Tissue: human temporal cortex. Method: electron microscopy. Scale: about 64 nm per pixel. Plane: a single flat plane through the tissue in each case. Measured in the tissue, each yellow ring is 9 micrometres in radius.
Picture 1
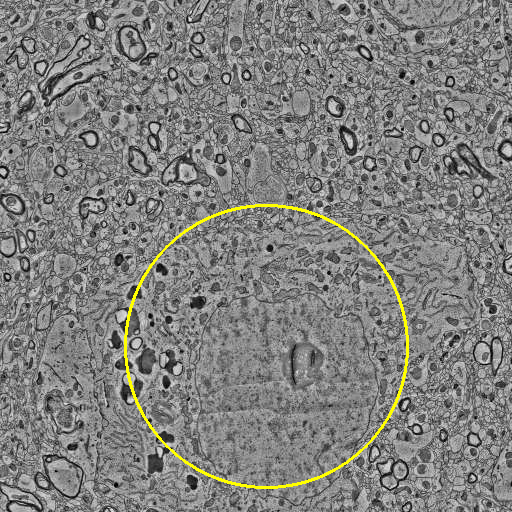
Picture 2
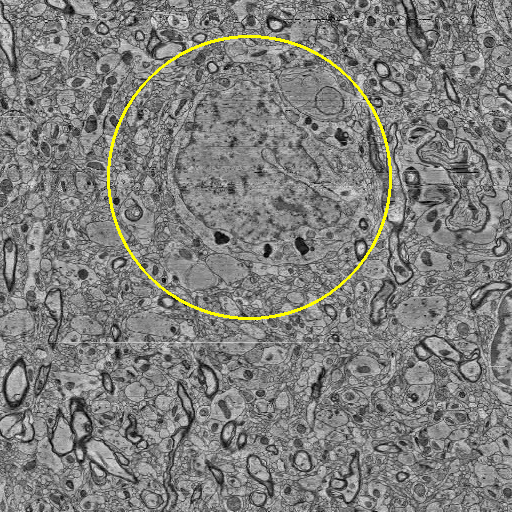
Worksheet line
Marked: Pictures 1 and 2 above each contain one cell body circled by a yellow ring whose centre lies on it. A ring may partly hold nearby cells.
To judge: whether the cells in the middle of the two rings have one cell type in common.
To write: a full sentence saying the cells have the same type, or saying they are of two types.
The cells in the middle of the rings in Picture 1 and Picture 2 are of two types.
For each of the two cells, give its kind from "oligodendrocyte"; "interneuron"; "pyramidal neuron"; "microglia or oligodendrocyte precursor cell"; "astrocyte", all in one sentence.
The first picture has a pyramidal neuron in its ring, the second has an interneuron.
